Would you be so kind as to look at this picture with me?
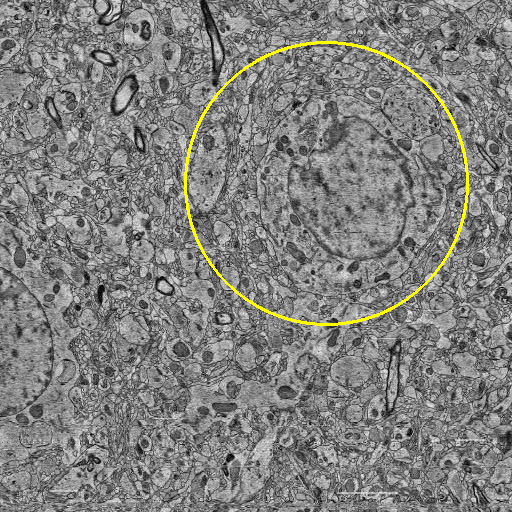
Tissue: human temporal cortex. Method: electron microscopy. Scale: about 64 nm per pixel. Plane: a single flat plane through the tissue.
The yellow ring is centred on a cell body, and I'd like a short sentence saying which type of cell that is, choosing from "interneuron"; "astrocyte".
The cell body in the ring belongs to an interneuron.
